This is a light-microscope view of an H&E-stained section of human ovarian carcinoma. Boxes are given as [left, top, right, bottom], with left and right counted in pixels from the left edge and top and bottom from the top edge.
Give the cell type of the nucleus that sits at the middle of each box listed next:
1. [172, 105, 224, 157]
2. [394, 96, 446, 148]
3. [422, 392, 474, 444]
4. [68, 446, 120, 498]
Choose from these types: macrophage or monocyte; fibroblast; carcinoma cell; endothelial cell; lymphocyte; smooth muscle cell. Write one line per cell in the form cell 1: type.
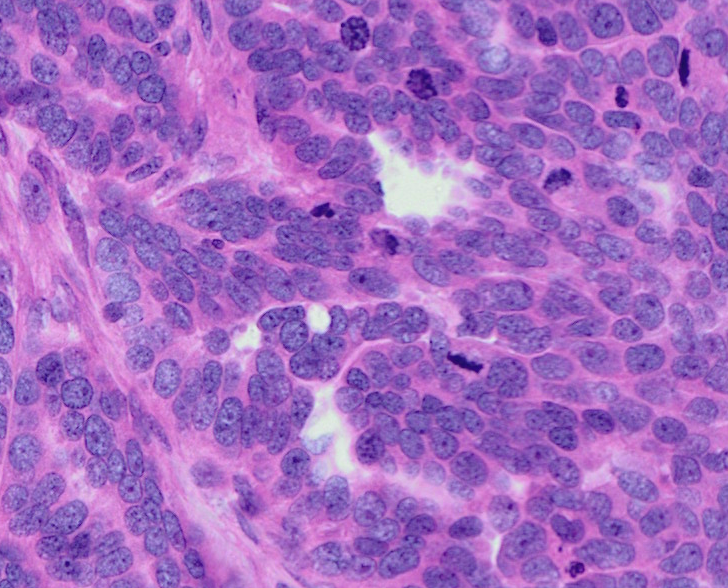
cell 1: fibroblast
cell 2: carcinoma cell
cell 3: carcinoma cell
cell 4: carcinoma cell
